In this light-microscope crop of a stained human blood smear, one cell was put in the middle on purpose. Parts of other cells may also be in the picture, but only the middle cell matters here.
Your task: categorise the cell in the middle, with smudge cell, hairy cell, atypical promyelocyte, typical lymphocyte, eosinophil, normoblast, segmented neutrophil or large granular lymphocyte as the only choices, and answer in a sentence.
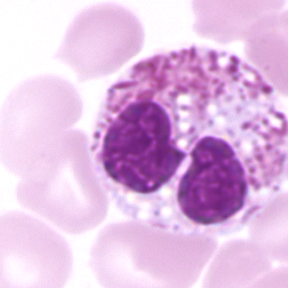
The cell at the centre of the field is an eosinophil.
